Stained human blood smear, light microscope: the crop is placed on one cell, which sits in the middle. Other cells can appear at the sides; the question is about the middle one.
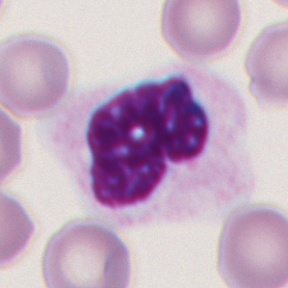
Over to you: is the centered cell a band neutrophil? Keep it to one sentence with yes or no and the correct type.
No, the cell located centrally is a segmented neutrophil rather than a band neutrophil.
